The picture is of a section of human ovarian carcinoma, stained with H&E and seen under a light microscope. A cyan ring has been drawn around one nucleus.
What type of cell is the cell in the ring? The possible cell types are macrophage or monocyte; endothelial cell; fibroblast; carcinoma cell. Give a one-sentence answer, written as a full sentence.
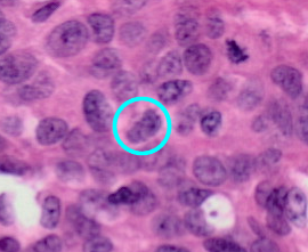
Labelled by cell type, the cell in the ring is a macrophage or monocyte.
